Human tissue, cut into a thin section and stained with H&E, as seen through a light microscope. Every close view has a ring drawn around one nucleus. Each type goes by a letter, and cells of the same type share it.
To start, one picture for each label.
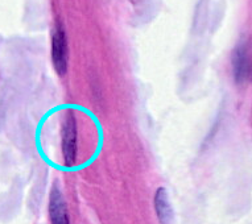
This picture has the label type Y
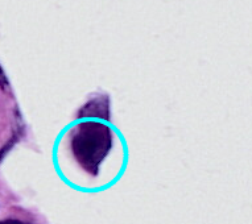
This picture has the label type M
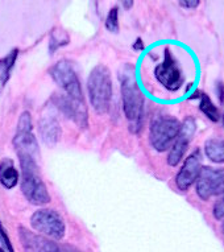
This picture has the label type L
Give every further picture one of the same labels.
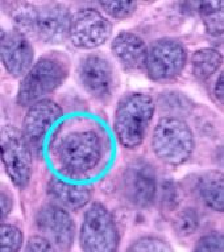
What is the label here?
type M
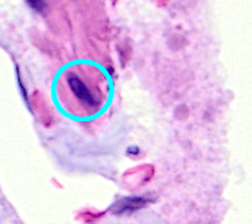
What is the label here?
type Y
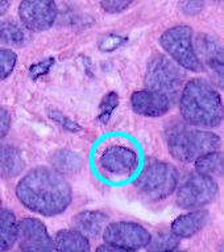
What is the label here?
type M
